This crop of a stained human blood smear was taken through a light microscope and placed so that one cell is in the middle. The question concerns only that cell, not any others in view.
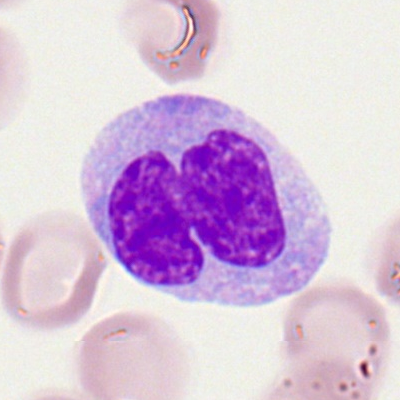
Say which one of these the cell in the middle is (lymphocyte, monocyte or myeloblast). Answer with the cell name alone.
monocyte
